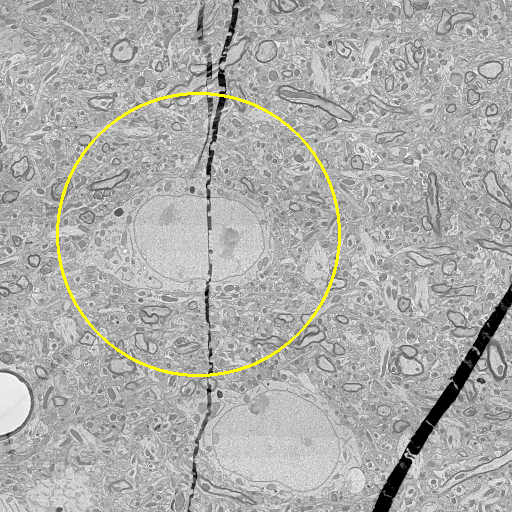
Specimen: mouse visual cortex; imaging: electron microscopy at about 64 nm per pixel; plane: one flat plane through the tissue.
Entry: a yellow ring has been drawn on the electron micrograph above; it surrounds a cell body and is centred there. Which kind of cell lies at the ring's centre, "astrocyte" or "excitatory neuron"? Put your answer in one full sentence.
The cell sitting at the ring's centre is an excitatory neuron in the micrograph above.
